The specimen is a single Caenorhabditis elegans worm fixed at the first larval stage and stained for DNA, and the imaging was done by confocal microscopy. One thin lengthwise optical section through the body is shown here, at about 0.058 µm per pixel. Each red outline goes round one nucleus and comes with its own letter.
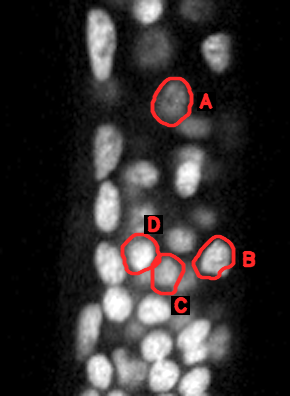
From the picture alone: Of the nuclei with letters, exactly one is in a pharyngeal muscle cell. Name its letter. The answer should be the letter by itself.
C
